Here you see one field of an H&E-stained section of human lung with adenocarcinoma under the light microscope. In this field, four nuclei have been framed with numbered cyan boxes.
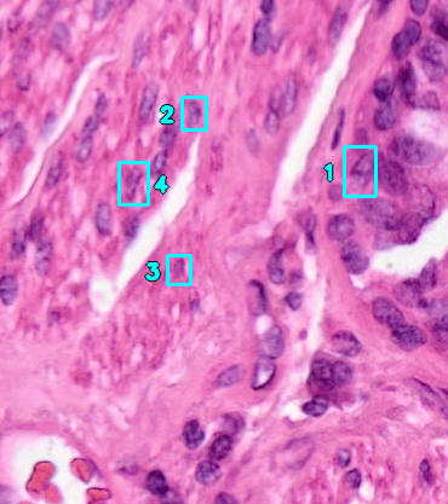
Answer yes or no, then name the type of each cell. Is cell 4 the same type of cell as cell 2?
Yes, both are smooth muscle cells or pericytes.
